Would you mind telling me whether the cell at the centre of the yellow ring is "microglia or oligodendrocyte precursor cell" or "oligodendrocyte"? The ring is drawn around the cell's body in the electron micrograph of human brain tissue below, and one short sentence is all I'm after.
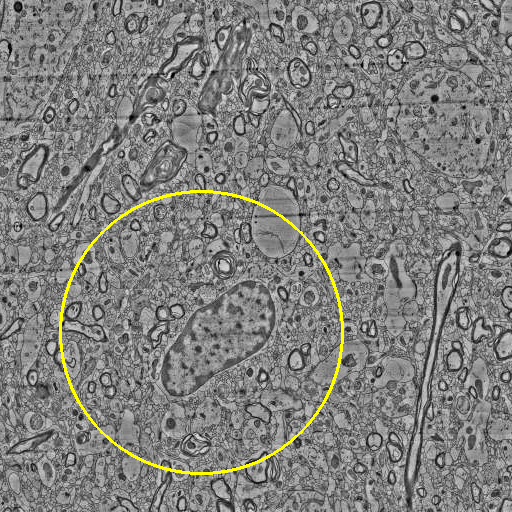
In the centre of the ring lies a microglial cell or oligodendrocyte precursor cell.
